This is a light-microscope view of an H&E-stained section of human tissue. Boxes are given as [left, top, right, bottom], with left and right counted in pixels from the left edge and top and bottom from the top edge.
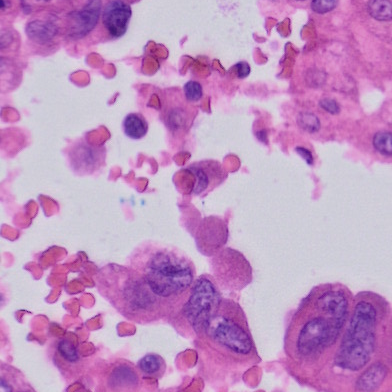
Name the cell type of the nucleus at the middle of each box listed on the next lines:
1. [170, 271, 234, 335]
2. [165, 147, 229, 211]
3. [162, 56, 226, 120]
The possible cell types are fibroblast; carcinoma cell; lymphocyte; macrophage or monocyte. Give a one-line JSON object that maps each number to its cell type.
{"1": "carcinoma cell", "2": "macrophage or monocyte", "3": "lymphocyte"}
